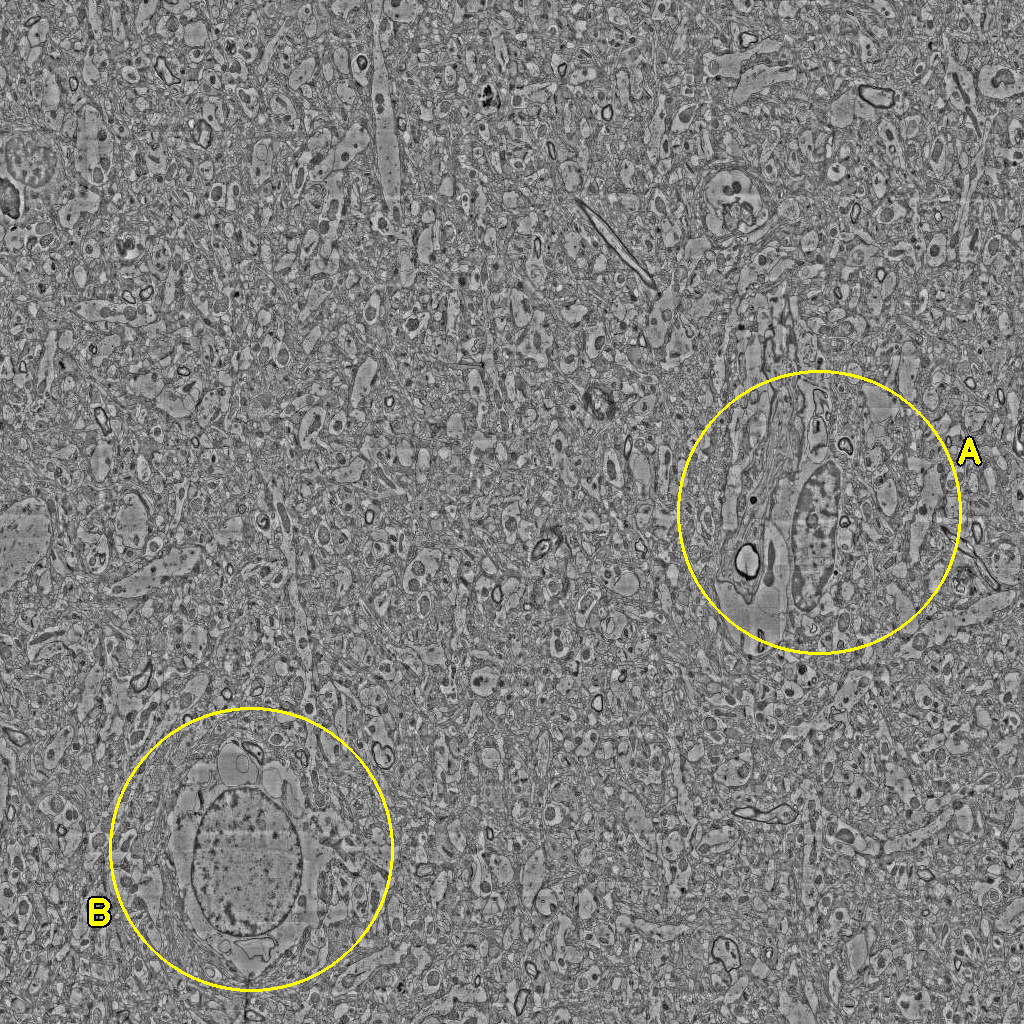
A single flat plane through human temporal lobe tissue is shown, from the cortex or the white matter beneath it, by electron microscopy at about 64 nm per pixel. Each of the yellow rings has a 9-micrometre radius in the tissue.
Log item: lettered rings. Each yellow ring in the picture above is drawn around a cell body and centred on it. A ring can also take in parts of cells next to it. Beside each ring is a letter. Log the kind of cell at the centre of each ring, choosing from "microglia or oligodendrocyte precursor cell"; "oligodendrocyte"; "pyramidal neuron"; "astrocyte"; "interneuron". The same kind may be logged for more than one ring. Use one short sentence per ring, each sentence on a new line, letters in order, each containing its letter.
Within ring A, the centre is taken by a microglial cell or oligodendrocyte precursor cell.
Within ring B, the centre is taken by an astrocyte.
